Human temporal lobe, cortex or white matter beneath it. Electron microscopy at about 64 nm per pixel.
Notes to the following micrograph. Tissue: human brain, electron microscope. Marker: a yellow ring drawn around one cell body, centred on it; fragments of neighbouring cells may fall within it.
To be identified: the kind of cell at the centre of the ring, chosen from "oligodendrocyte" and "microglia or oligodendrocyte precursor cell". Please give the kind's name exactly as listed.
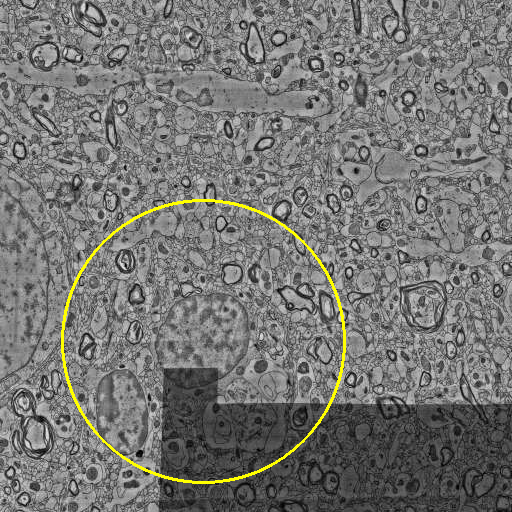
oligodendrocyte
